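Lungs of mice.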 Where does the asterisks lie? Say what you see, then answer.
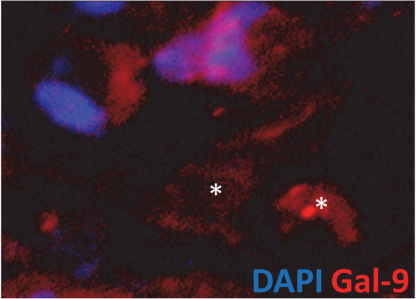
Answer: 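The asterisks sit on red patches with no blue nuclei in or beside them.
Conclusion: cell-free areas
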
